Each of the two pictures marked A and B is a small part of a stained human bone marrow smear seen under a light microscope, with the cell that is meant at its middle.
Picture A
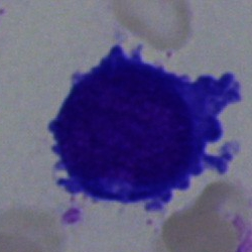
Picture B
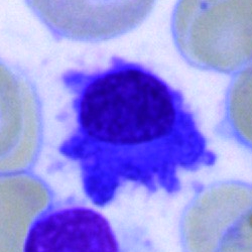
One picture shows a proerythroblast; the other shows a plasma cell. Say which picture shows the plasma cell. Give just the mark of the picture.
B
